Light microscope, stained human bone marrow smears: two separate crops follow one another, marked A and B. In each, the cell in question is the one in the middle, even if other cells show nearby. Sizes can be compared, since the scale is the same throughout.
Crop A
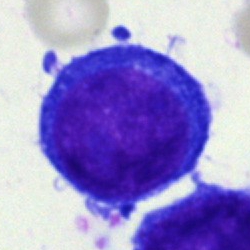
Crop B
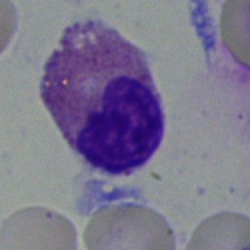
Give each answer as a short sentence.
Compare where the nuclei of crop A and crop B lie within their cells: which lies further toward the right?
It is the nucleus in crop B that lies further toward the right of its cell.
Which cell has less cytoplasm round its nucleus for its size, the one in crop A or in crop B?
The nucleus fills more of the cell in crop A than in crop B.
